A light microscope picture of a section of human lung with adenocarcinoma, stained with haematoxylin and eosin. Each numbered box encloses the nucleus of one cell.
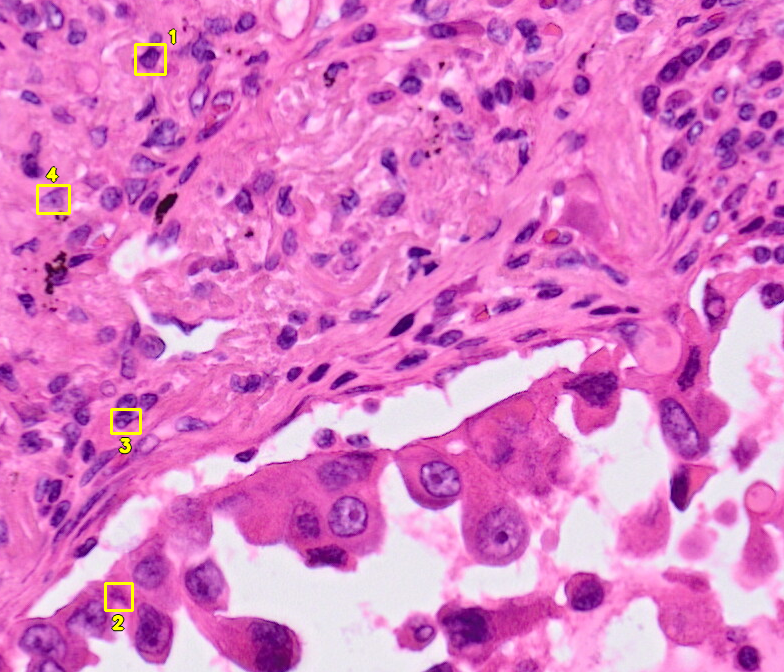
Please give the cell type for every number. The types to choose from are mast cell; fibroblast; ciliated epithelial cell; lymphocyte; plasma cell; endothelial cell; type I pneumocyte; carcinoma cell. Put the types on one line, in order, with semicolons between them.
plasma cell; carcinoma cell; lymphocyte; fibroblast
